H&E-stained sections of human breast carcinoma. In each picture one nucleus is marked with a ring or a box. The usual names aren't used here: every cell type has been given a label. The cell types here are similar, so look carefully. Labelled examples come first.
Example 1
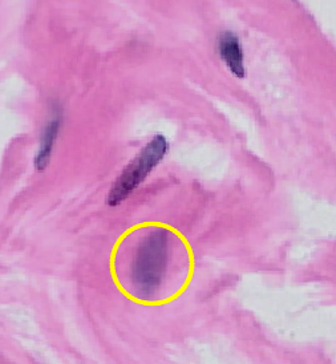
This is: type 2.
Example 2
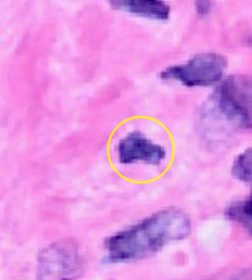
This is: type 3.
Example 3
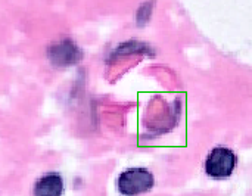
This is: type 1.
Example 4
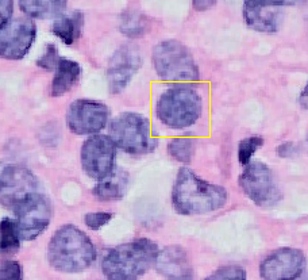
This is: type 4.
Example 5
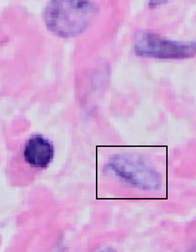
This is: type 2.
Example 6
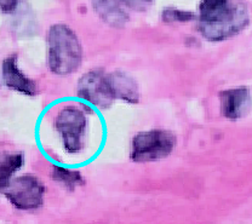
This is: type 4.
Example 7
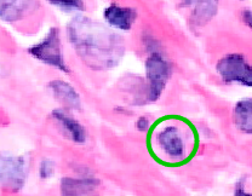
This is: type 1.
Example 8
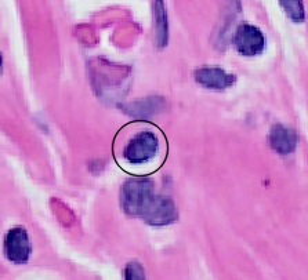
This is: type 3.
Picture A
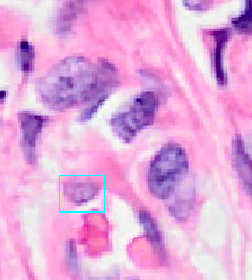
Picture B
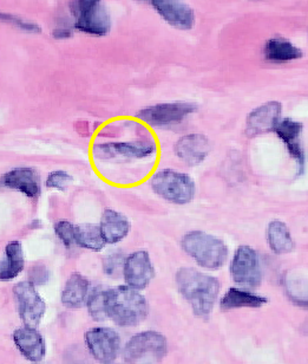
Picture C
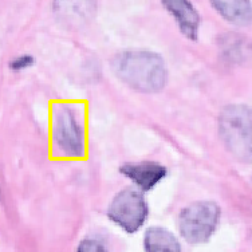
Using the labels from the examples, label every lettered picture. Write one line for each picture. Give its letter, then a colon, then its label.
A: type 1.
B: type 1.
C: type 1.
